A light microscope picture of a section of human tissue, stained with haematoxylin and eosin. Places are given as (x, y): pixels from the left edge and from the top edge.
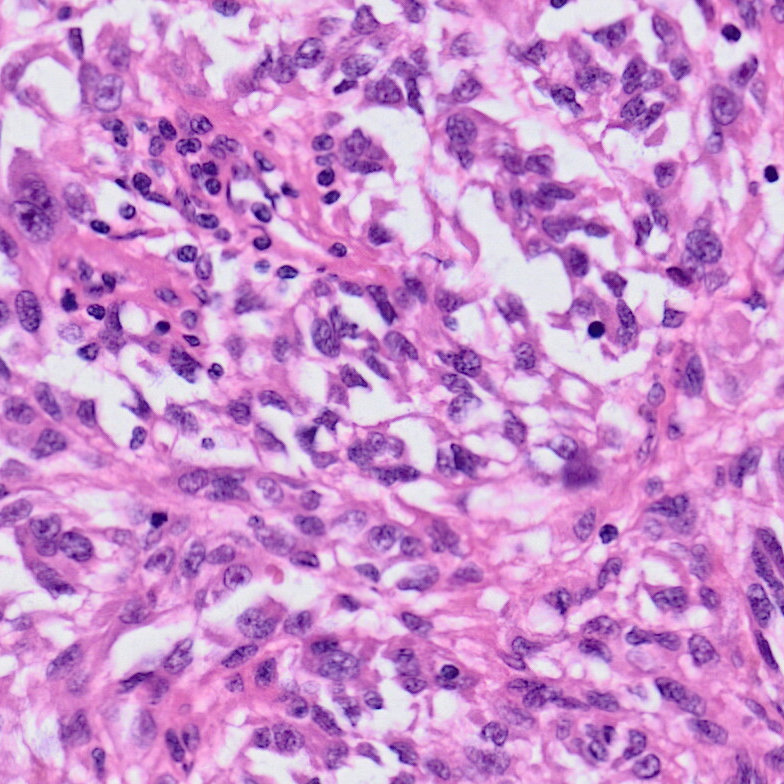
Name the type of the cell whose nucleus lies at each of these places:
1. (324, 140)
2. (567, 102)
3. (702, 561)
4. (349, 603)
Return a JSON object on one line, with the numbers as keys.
{"1": "lymphocyte", "2": "melanoma cell", "3": "melanoma cell", "4": "macrophage or monocyte"}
